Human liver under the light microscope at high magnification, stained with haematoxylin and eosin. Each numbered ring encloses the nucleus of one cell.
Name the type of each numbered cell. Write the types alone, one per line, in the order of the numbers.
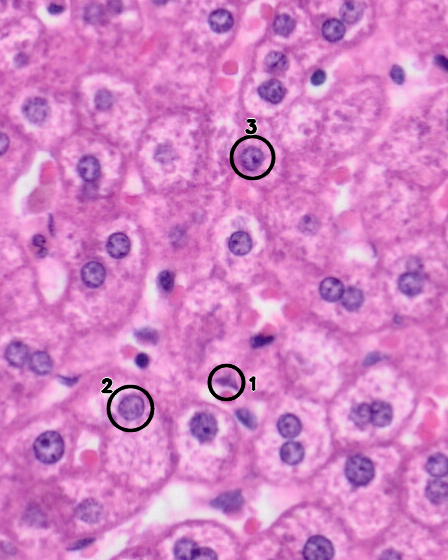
endothelial cell
hepatocyte
hepatocyte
